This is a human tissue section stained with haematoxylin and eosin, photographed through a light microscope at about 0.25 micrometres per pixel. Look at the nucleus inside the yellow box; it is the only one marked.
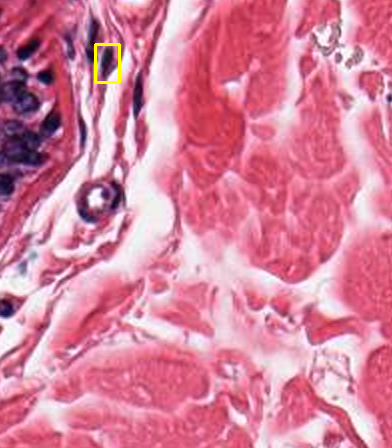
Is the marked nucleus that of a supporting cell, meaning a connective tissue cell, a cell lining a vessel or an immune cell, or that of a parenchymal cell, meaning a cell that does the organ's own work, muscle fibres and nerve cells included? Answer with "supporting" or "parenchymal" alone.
supporting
